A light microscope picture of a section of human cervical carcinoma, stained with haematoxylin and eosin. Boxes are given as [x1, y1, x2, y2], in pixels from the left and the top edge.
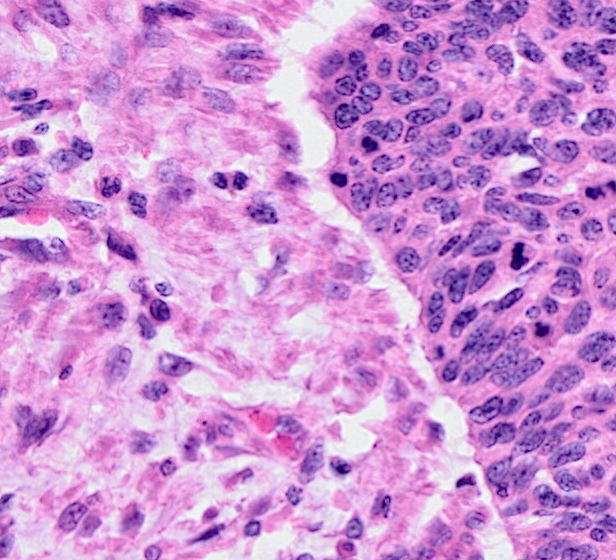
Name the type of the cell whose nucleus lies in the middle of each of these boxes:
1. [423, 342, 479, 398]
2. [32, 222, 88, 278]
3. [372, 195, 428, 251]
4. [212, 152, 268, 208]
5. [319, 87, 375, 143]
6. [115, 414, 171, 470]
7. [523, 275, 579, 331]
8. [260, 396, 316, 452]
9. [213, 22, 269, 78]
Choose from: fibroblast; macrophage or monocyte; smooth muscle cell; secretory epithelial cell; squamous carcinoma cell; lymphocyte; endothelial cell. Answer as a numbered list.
1. squamous carcinoma cell
2. endothelial cell
3. squamous carcinoma cell
4. lymphocyte
5. squamous carcinoma cell
6. fibroblast
7. squamous carcinoma cell
8. endothelial cell
9. fibroblast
